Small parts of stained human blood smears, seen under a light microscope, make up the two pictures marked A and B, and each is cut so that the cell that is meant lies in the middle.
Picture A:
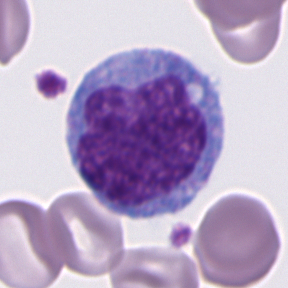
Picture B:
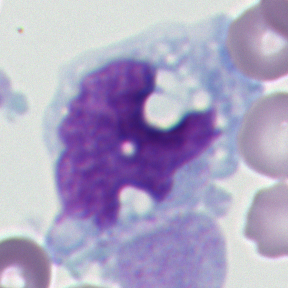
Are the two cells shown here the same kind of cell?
yes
